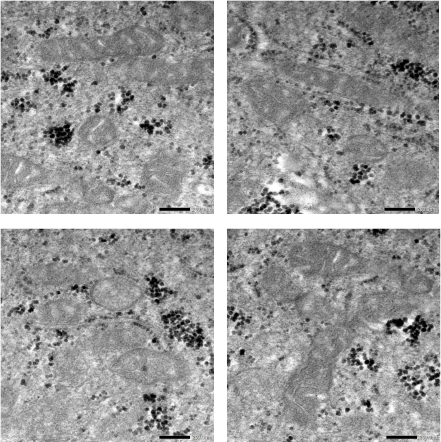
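Four electron micrographs of cytoplasm contain elongated and oval membrane-bound organelles with a grey matrix and faint inner membrane folds. Clusters of dense black dots lie grouped in the cytoplasm between them.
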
